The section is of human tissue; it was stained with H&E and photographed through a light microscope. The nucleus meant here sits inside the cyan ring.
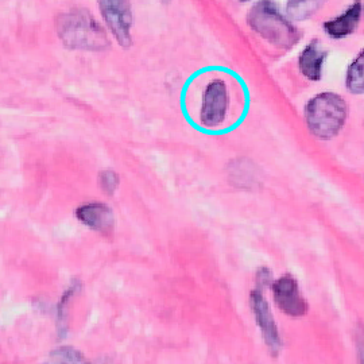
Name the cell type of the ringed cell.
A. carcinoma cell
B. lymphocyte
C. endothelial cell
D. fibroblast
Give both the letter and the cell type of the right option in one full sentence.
The correct identification, the ringed cell as a lymphocyte, is given by option B.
